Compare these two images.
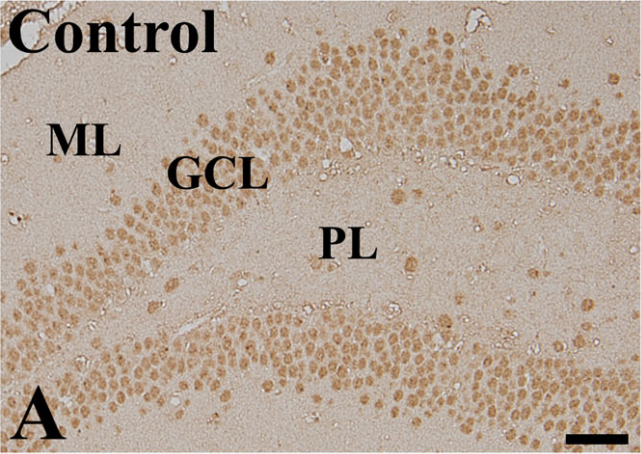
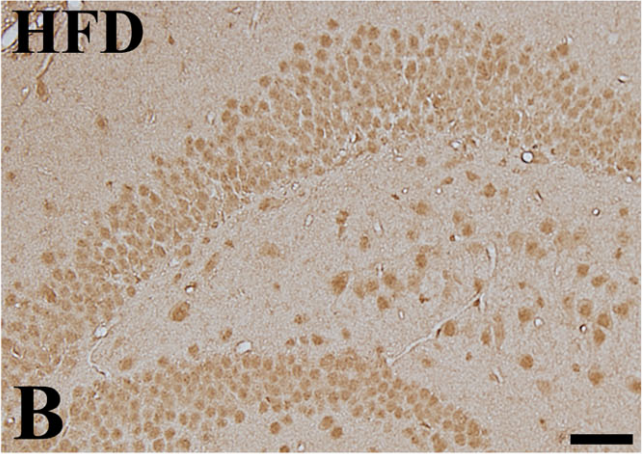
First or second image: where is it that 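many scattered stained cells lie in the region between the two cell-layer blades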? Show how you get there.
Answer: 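Second image: numerous larger brown-stained cells are scattered in the region between the blades. First image: the region between the blades is mostly pale with only a few stained cells. On this evidence: the second image.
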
